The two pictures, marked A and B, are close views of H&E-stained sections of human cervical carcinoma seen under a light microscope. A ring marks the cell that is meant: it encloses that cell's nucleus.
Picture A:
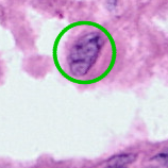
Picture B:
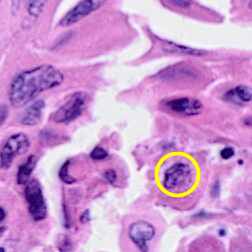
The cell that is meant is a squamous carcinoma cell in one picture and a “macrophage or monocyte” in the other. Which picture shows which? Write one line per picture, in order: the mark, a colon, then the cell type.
A: squamous carcinoma cell
B: macrophage or monocyte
